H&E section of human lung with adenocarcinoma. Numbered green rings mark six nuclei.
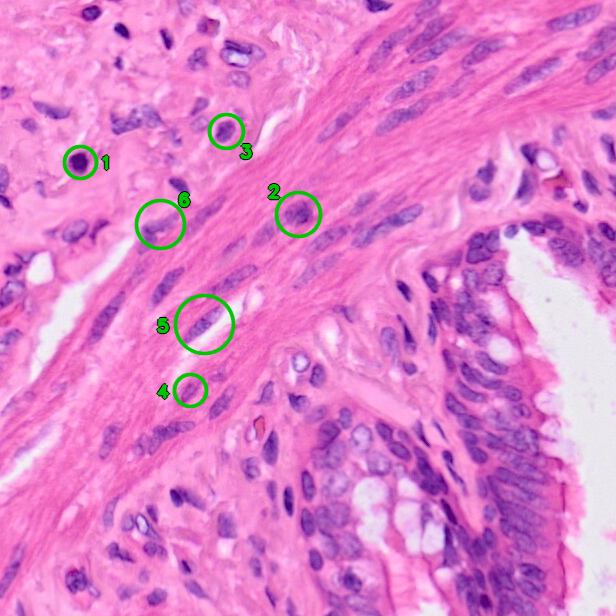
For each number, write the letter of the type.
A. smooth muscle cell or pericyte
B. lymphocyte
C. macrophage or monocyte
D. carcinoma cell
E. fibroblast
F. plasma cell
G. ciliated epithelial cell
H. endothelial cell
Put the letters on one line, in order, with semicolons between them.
F; A; B; A; A; A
